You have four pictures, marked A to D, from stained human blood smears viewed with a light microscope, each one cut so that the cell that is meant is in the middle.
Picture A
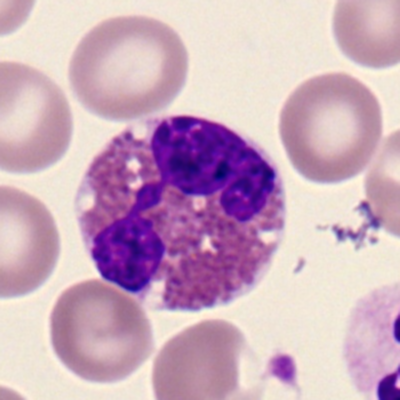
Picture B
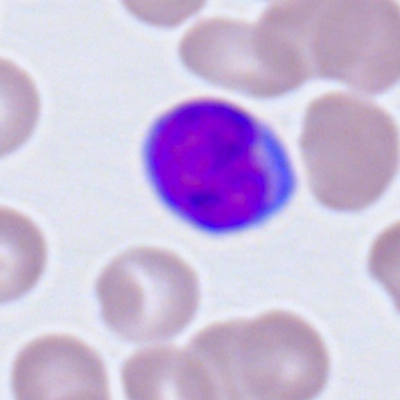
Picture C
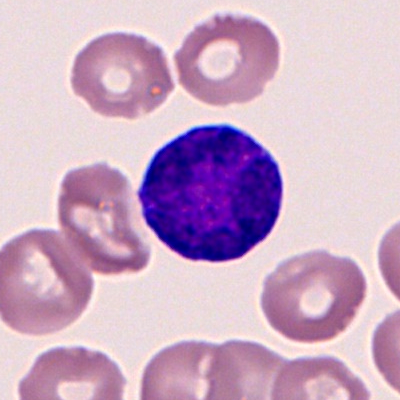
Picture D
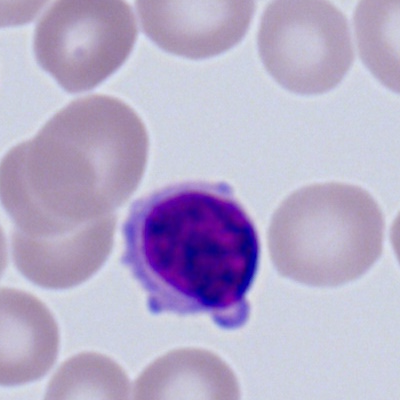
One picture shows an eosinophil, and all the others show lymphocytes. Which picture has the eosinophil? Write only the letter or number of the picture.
A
